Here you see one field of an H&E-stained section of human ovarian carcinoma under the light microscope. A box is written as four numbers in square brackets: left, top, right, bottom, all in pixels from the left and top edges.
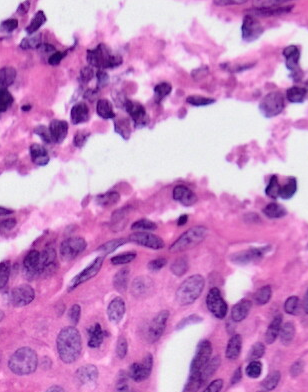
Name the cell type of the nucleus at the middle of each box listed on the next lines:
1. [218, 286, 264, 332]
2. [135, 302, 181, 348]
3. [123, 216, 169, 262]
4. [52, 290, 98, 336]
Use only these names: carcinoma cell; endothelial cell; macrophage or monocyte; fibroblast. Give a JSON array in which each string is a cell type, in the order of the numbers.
["carcinoma cell", "carcinoma cell", "endothelial cell", "carcinoma cell"]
